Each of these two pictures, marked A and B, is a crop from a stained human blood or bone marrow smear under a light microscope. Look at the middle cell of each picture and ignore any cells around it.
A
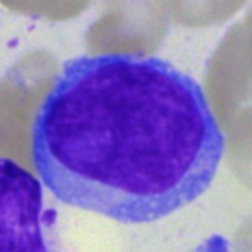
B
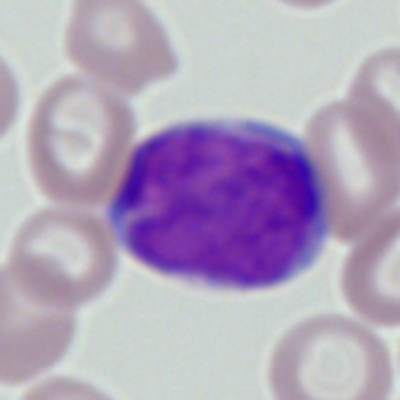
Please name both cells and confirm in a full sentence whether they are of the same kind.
Yes, both crops show blasts at their middles.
